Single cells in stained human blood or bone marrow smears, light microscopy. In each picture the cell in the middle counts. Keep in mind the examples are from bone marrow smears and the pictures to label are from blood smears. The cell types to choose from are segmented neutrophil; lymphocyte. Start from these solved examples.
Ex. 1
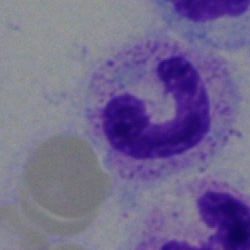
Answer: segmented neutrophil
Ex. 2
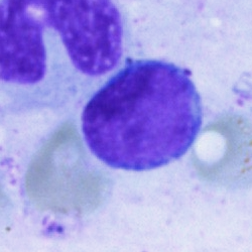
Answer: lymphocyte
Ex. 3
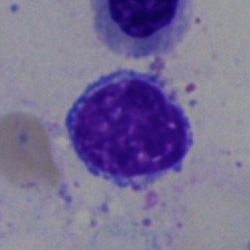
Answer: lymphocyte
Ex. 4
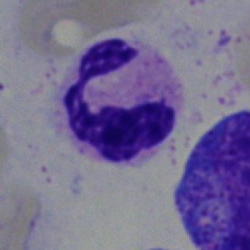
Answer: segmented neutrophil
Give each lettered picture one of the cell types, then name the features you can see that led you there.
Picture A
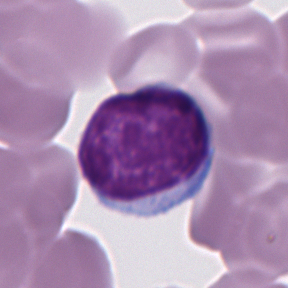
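Label: lymphocyte. The nucleus fills most of the cell.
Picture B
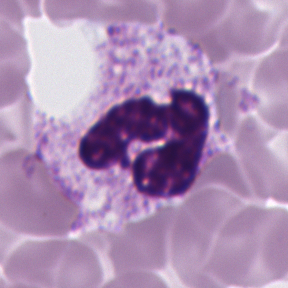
Label: segmented neutrophil. The nucleus consists of two broad lobes joined by a wide bridge.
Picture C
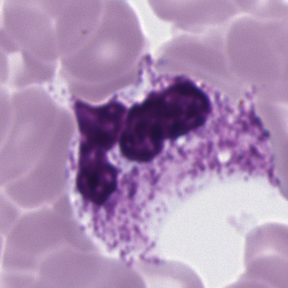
Label: segmented neutrophil. Numerous purple-violet granules are scattered through the cytoplasm.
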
